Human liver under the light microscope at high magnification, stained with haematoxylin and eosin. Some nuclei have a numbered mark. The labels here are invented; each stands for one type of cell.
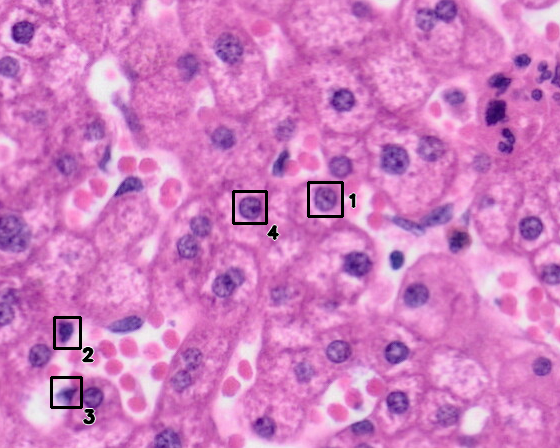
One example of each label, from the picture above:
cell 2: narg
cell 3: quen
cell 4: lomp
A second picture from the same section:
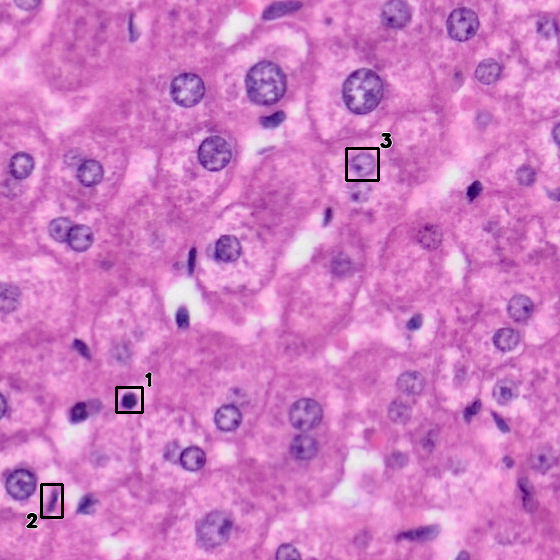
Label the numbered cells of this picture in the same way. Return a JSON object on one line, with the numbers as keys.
{"1": "narg", "2": "quen", "3": "lomp"}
